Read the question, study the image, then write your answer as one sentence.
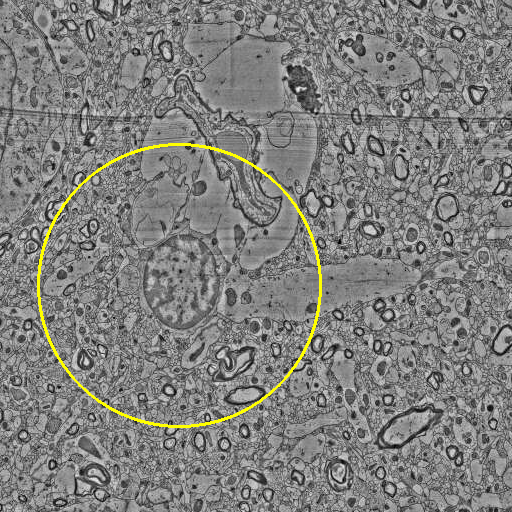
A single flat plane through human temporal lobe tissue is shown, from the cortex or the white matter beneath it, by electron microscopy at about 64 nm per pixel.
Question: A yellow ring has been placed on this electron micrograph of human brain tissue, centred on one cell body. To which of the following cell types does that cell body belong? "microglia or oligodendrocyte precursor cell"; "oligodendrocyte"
That cell body belongs to an oligodendrocyte.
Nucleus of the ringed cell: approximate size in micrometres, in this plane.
In this plane the nucleus measures roughly 6 by 5 micrometres.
